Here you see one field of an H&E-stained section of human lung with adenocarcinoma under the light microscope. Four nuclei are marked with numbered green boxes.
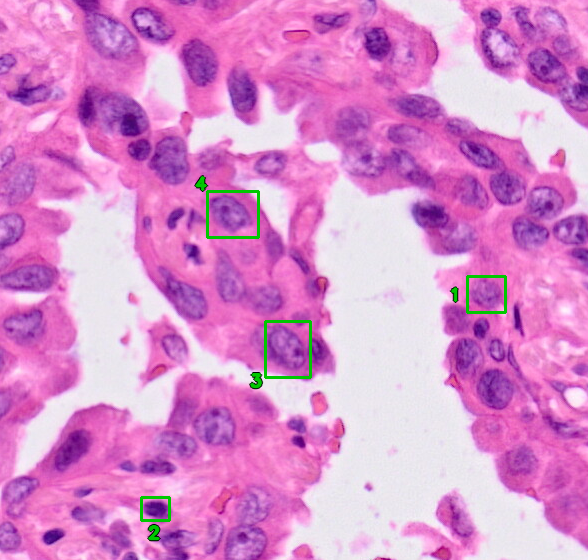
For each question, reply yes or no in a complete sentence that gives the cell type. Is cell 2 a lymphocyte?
Yes, the one with the number 2 is a lymphocyte.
